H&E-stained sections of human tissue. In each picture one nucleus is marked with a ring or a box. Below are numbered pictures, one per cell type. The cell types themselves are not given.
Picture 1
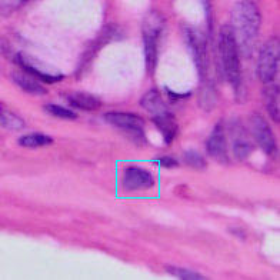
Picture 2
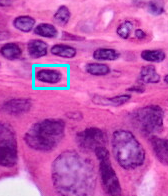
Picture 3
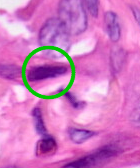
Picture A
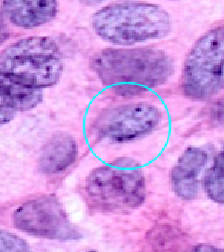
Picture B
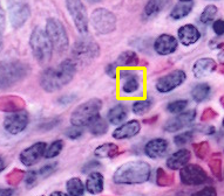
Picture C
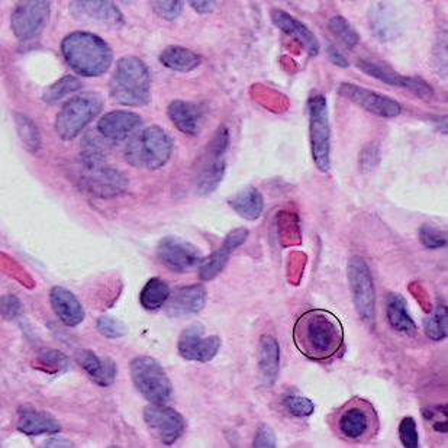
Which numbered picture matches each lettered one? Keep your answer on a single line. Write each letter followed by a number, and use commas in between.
A 3, B 2, C 1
